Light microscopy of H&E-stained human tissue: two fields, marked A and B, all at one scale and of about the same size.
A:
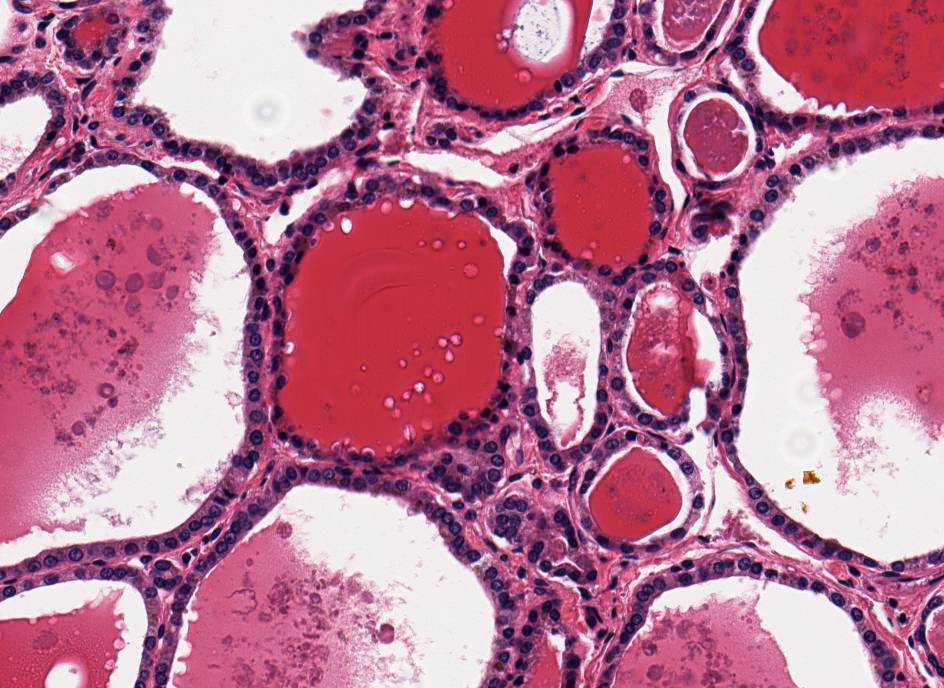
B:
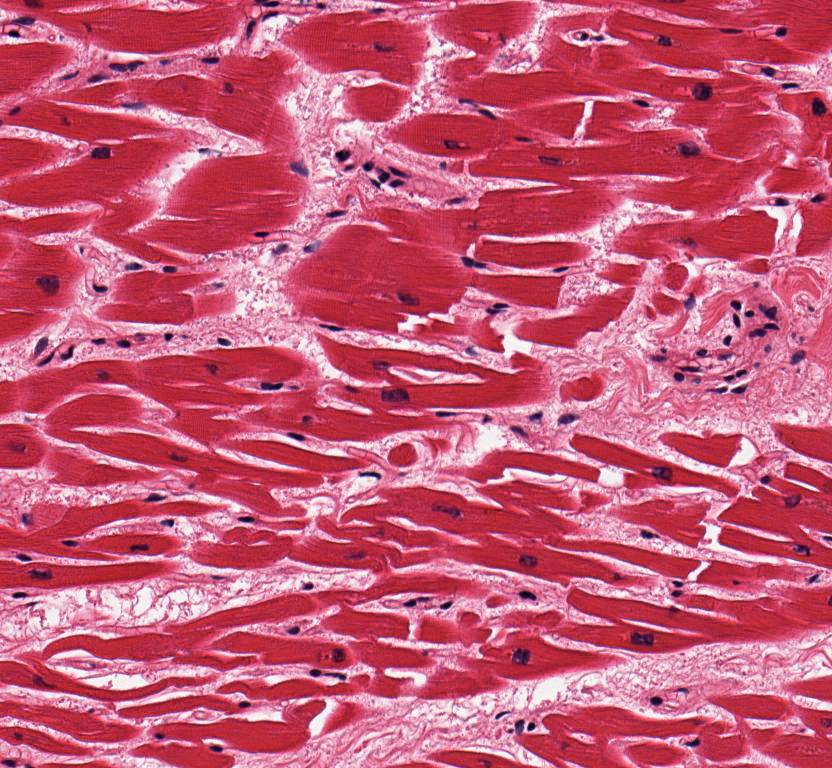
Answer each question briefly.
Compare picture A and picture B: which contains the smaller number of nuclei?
B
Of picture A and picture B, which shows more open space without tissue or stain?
A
